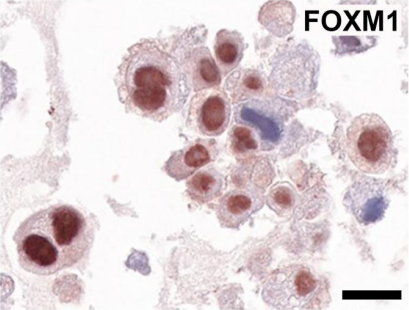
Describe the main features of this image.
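Most cells have round to oval nuclei stained a dark reddish-brown, while the cytoplasm is only faintly tinted. A few nuclei remain blue, without the brown colour. One cell at the lower left holds two large, deeply stained nuclei side by side. Faint pinkish, fibrillar material lies in the background between the cells.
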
